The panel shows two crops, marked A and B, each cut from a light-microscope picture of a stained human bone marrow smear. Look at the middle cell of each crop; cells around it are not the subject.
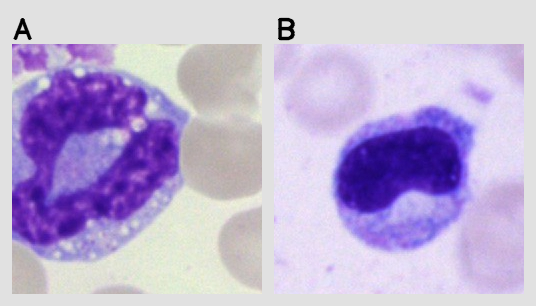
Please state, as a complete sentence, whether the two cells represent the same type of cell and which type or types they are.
No, crop A is where a monocyte is, and crop B is where a metamyelocyte is.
